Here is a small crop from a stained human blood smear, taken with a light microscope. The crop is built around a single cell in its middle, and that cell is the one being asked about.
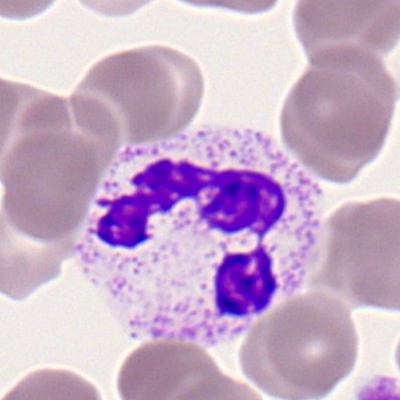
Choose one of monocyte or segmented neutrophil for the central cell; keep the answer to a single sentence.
The identification for the central cell is a segmented neutrophil.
